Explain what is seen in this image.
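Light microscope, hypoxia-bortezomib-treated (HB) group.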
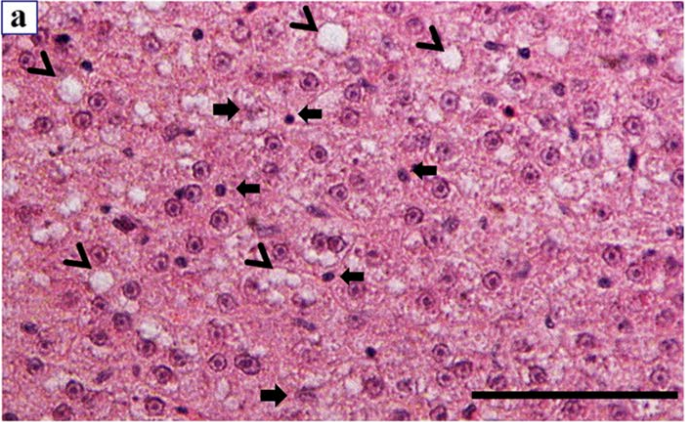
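This is liver tissue, with polygonal liver cells each carrying a round central nucleus with a dark nucleolus in pink cytoplasm. Many cells hold clear, round, empty-looking vacuoles, some single and some gathered in clusters. Here and there small, shrunken, densely dark nuclei stand out among the ordinary round nuclei. In places a nucleus looks faded, as if dissolving, leaving a pale area.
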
